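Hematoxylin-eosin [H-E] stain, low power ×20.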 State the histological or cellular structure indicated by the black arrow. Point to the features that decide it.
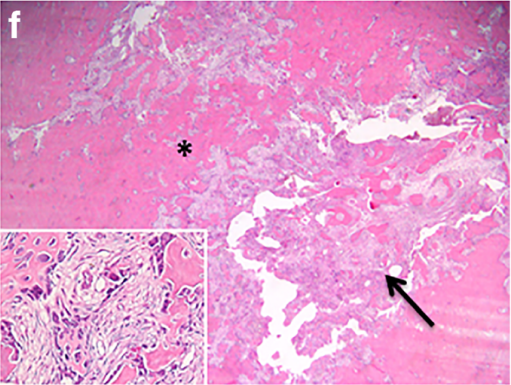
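The arrow points to a purple, more cellular zone of irregular interlacing tissue. This zone lies next to a broad region of pale pink, dense, solid matrix.
Central nidus-like area.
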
